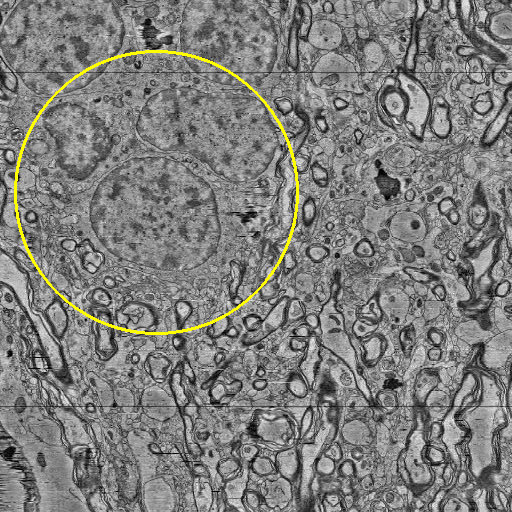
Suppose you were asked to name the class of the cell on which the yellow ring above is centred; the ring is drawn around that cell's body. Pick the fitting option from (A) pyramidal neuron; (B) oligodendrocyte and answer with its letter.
B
